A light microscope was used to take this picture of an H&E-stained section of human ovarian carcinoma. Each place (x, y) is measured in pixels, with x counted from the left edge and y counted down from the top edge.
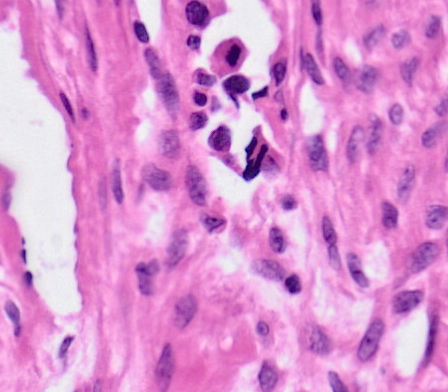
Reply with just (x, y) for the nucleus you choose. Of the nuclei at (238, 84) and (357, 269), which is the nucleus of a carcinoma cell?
(238, 84)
